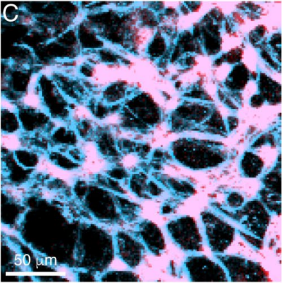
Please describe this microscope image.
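Thin blue strands branch and rejoin to form a dense, net-like mesh of small vessels. Between the strands lie dark, roughly rounded or polygonal spaces of tissue without vessels. Some vessels are only outlined in blue with little pink, so not every branch is filled equally.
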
